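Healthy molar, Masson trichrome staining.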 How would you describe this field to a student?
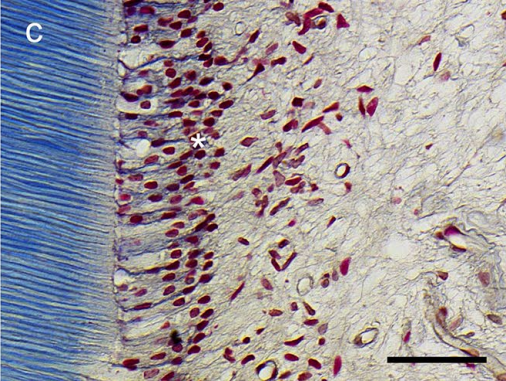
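A blue-stained hard tissue at the left meets a soft cellular tissue, and along their border stands a layer of odontoblasts. The hard tissue is crossed by fine, closely spaced parallel tubules running perpendicular to the border. The odontoblasts are tall, columnar cells packed side by side in a palisade several nuclei deep, with elongated dark red nuclei lying at the end away from the hard tissue, while their paler apical parts and thin processes extend toward and into the tubules. Deeper to the right lies loose, pale connective tissue with scattered spindle-shaped red nuclei, small vessels and fine fibres.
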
